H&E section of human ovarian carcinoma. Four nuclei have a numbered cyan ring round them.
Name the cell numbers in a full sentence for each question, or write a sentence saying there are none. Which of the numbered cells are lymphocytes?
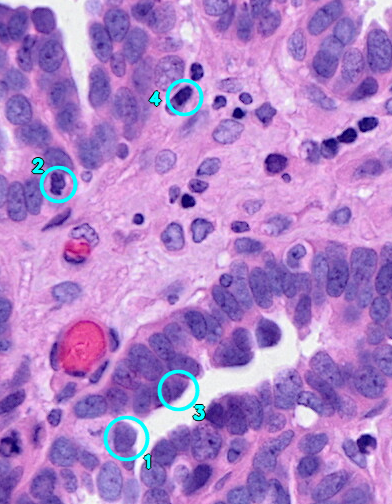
The cells to which the numbers 2 and 4 refer are lymphocytes.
